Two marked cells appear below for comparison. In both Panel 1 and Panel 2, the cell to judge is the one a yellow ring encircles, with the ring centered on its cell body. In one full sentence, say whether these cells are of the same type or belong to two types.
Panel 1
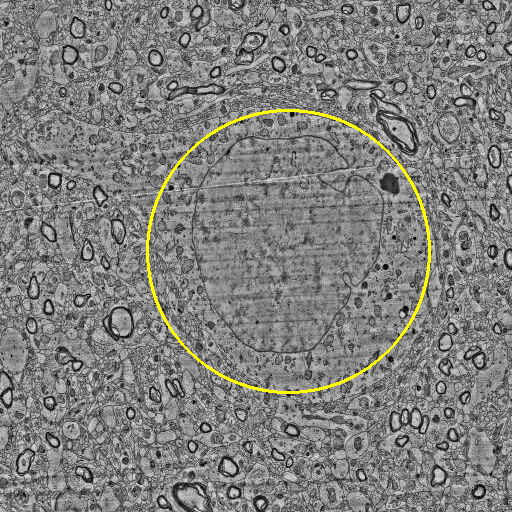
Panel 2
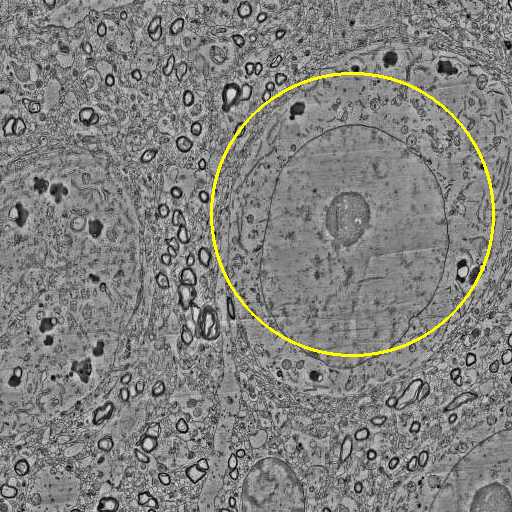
The cell centered in the Panel 1 ring and the one in Panel 2 are of the same type.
